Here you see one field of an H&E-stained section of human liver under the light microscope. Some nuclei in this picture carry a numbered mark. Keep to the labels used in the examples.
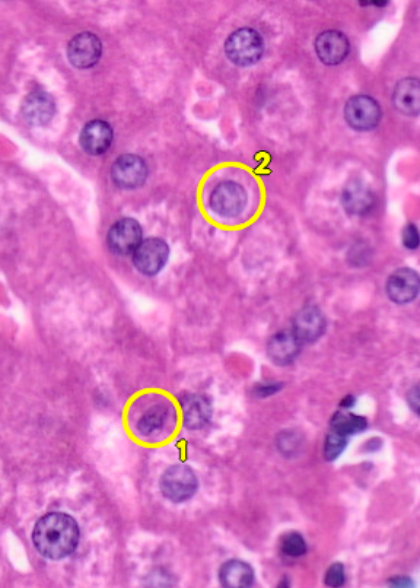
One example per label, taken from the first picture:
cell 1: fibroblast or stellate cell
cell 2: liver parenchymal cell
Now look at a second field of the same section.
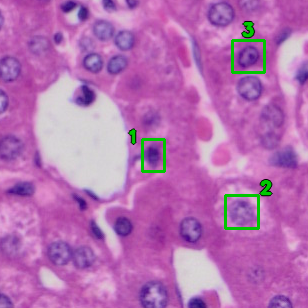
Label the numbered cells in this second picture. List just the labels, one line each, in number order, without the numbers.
fibroblast or stellate cell
liver parenchymal cell
liver parenchymal cell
